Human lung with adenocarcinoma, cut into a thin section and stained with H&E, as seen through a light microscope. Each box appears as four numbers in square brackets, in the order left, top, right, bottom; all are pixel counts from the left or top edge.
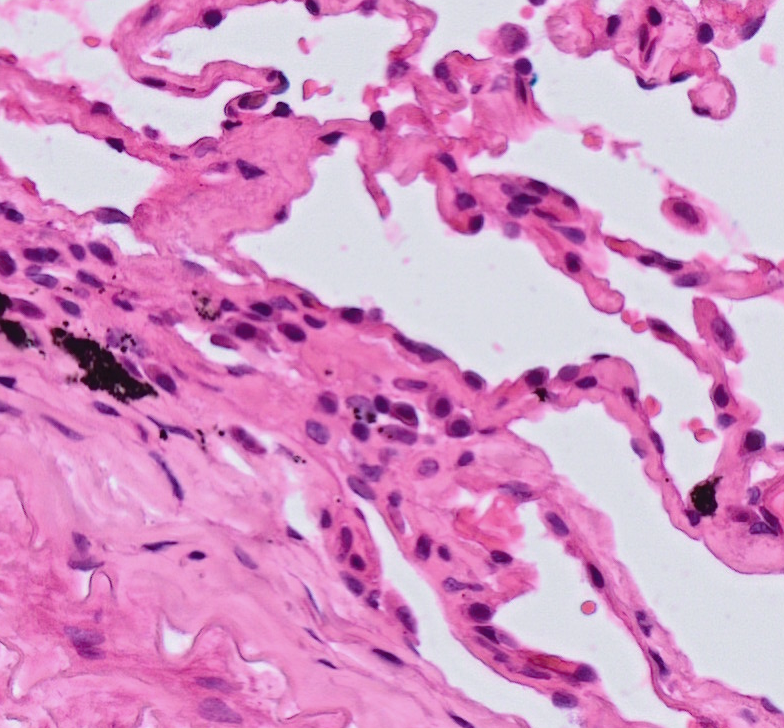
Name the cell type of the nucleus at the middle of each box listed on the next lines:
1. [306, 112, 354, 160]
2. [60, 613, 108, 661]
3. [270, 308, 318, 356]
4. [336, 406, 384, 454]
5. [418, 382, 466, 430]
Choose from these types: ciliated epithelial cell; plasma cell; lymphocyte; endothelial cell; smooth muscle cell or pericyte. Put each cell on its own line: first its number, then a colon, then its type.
1: endothelial cell
2: smooth muscle cell or pericyte
3: plasma cell
4: lymphocyte
5: plasma cell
